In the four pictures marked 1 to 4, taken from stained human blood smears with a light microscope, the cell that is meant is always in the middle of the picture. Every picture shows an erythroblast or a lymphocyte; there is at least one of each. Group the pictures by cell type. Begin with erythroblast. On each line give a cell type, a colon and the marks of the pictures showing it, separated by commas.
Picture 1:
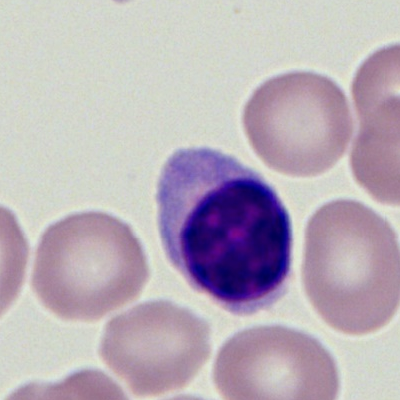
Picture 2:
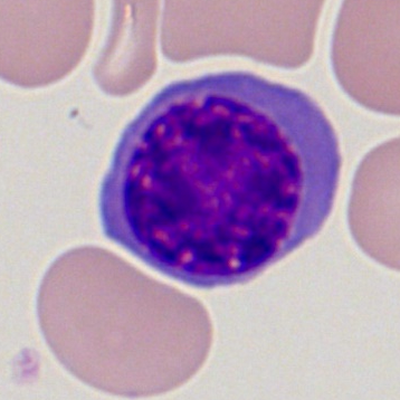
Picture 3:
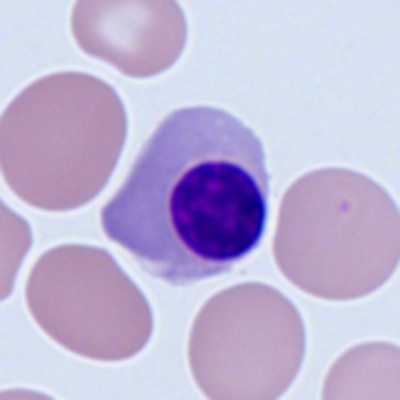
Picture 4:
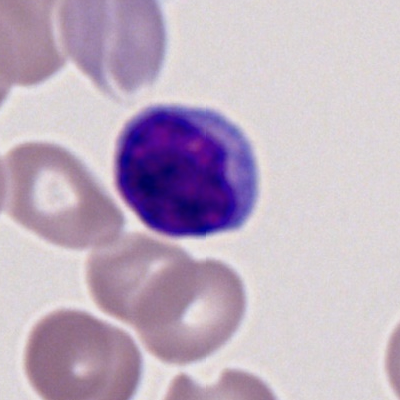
erythroblast: 1, 2, 3
lymphocyte: 4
